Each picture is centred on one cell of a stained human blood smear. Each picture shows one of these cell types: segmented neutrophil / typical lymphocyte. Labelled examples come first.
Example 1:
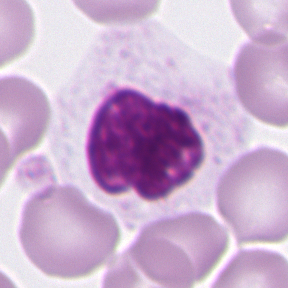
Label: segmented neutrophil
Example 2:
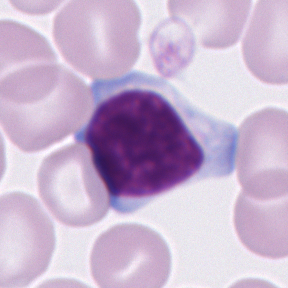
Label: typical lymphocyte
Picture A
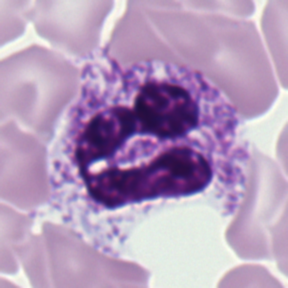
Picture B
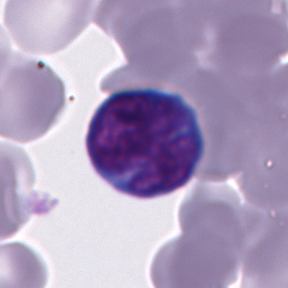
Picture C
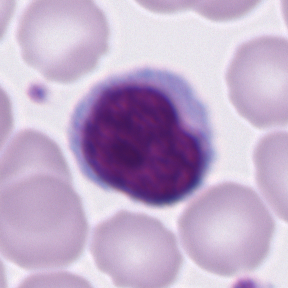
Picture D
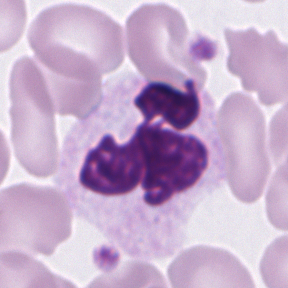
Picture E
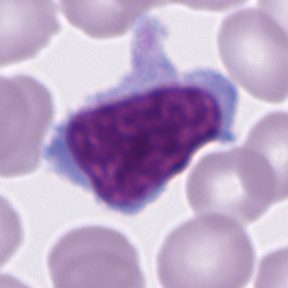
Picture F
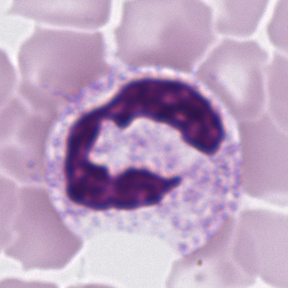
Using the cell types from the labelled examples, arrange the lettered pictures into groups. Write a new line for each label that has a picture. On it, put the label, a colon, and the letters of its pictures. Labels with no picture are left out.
segmented neutrophil: A, D, F
typical lymphocyte: B, C, E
